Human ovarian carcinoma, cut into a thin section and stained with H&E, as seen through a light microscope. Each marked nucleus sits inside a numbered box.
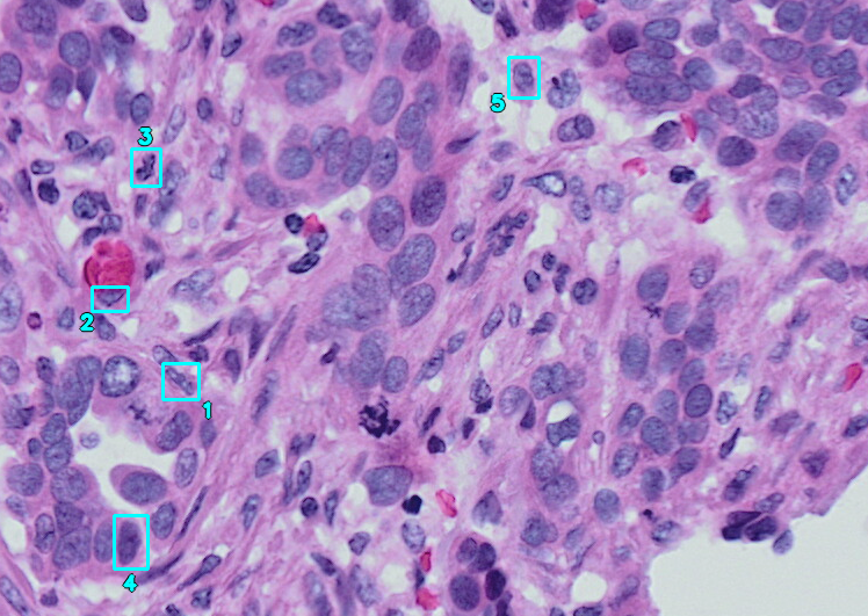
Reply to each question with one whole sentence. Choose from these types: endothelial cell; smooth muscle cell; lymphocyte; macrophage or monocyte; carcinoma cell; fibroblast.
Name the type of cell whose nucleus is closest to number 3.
Closest to number 3 lies the nucleus of a fibroblast.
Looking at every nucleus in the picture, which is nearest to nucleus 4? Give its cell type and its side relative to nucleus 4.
The nearest nucleus is that of a carcinoma cell and lies to the left of nucleus 4.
